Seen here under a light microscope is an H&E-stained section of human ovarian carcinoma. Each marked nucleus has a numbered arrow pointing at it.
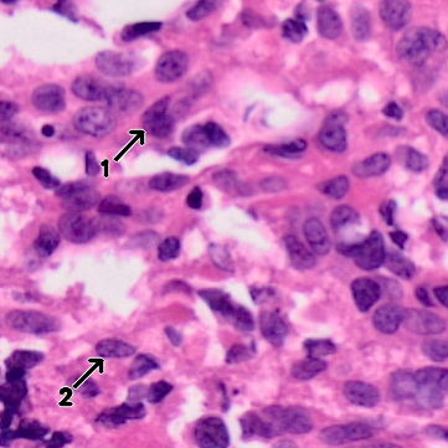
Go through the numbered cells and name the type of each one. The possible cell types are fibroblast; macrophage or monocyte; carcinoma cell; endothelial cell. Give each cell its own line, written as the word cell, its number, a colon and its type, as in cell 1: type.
cell 1: carcinoma cell
cell 2: macrophage or monocyte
